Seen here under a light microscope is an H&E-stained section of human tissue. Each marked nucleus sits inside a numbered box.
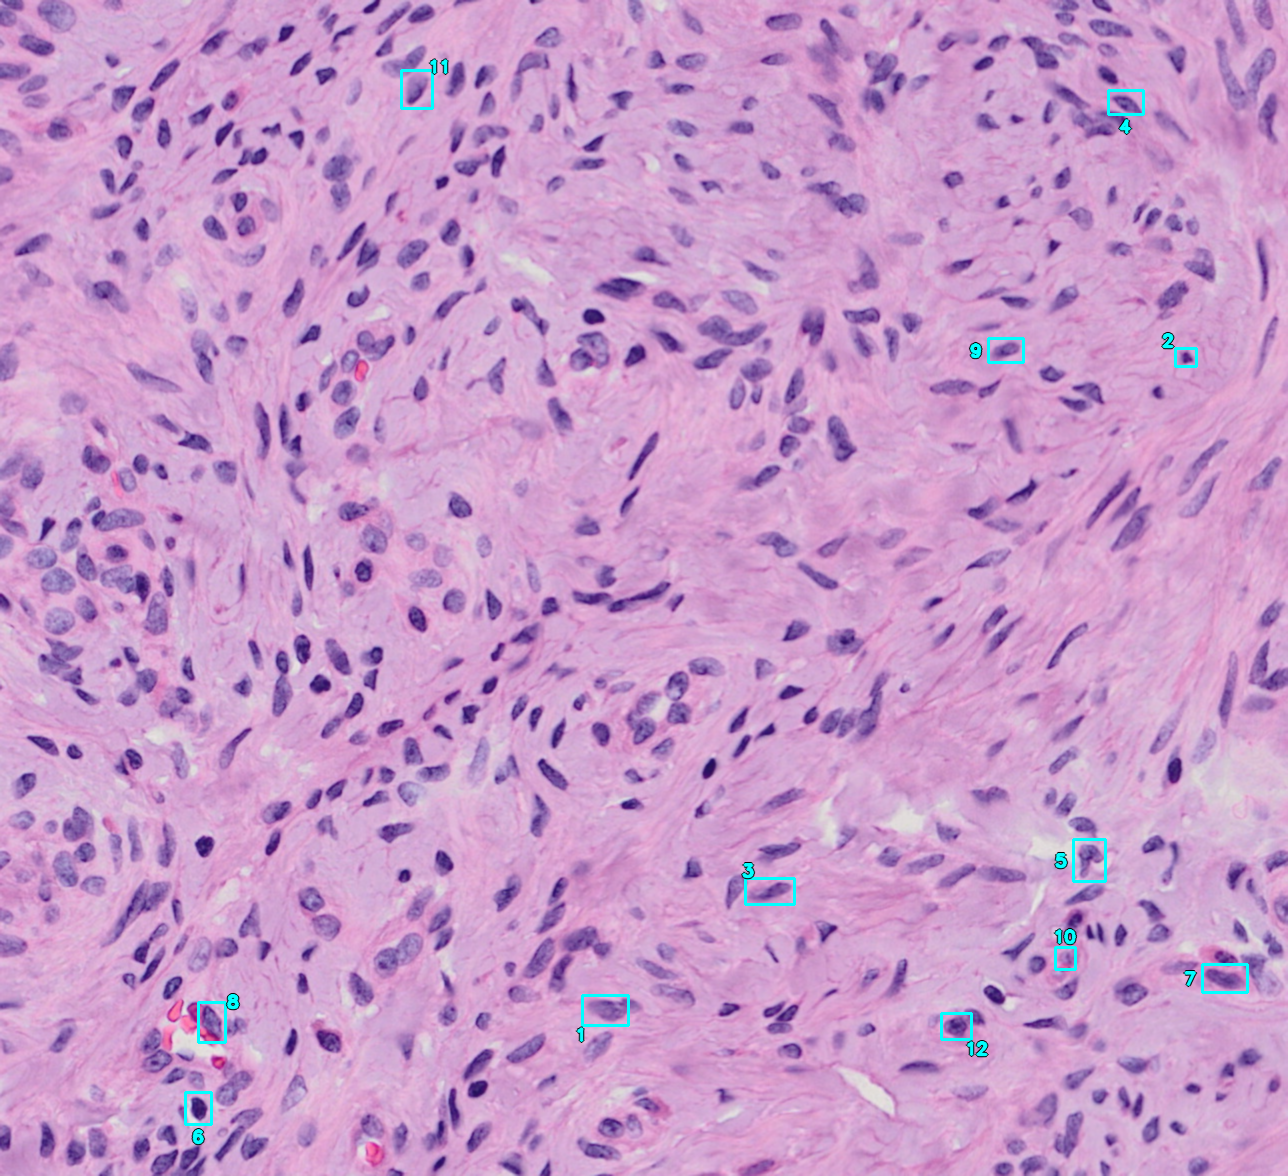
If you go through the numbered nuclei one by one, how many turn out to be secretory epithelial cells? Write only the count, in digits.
0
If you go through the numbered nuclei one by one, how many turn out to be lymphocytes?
1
